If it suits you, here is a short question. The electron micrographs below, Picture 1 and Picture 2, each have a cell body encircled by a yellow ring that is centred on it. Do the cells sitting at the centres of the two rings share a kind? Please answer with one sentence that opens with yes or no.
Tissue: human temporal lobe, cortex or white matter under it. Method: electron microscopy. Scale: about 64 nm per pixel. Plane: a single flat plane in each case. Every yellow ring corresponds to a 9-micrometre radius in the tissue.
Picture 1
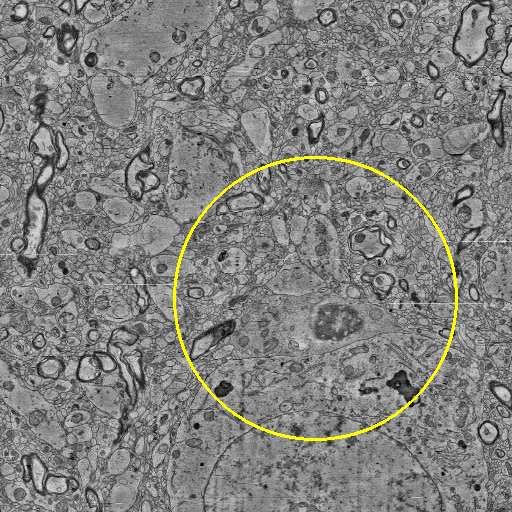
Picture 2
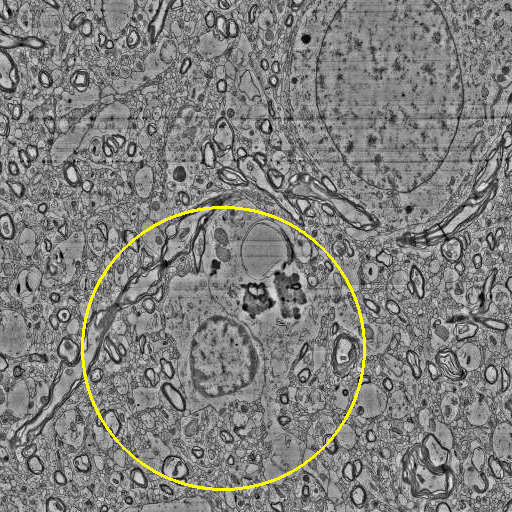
No, the two cells sitting at the ring centres fall into two kinds.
